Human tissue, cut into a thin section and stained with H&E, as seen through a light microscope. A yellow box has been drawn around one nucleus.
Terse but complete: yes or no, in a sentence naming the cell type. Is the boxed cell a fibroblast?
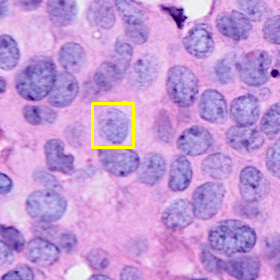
No, a carcinoma cell is what the boxed cell is, not a fibroblast.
